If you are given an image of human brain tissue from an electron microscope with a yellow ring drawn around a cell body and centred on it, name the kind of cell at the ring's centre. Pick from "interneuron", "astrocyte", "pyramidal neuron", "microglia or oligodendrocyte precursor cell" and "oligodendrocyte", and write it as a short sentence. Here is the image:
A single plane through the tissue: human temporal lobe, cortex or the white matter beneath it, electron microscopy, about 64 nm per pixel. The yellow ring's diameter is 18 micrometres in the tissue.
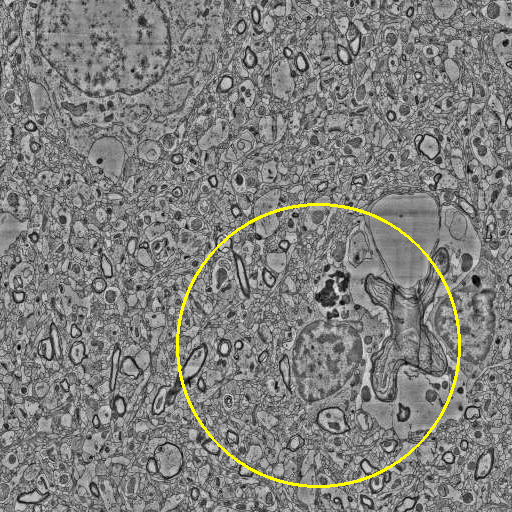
The cell at the ring's centre is an oligodendrocyte.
